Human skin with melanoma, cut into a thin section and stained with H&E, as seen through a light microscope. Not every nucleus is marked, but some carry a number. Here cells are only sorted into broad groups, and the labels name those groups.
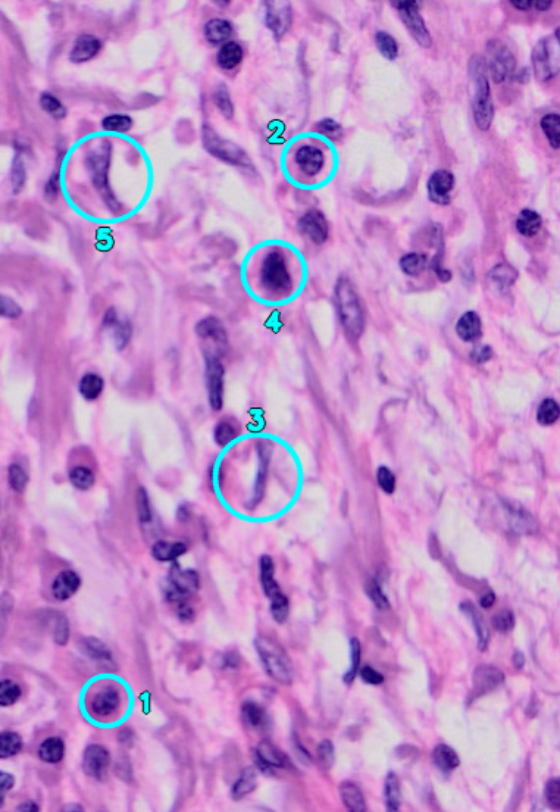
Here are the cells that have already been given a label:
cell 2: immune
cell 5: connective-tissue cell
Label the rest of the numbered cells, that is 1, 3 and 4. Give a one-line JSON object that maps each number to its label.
{"1": "immune", "3": "connective-tissue cell", "4": "immune"}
